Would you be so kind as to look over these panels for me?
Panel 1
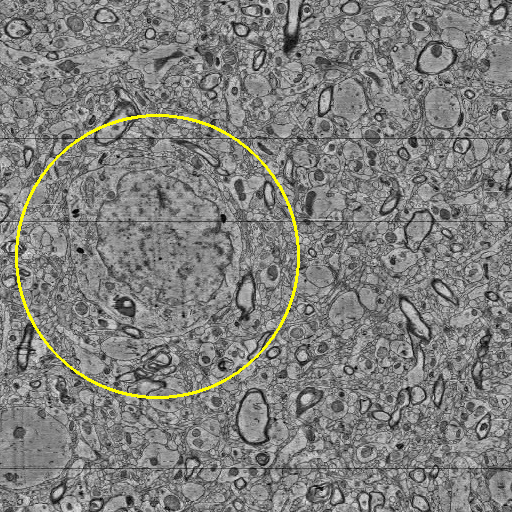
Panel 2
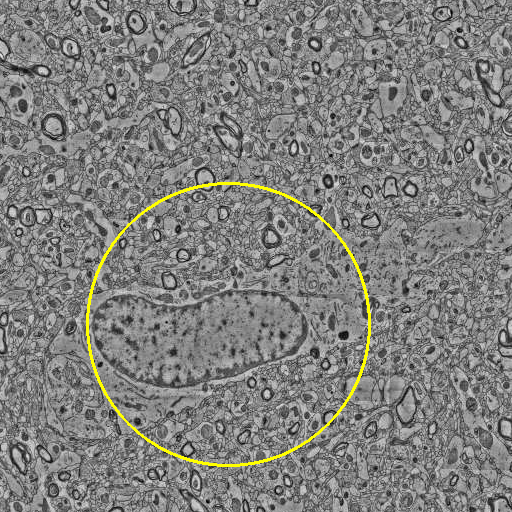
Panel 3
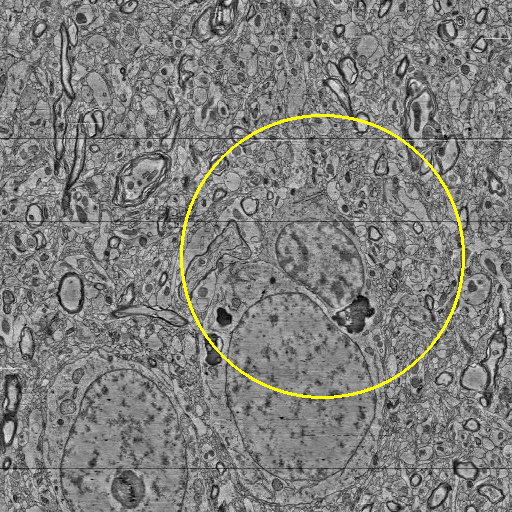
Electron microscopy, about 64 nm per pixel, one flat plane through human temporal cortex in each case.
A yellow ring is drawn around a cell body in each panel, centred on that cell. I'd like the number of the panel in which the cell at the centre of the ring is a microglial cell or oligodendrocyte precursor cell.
2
